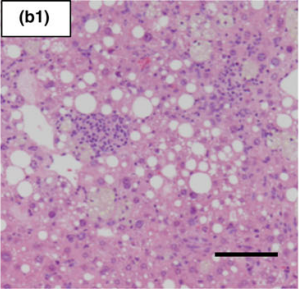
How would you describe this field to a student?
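Liver parenchyma with hepatocytes heavily laden with round, clear fat vacuoles of many sizes, some larger than the cells' nuclei. Clusters of small, dark, round nuclei of inflammatory cells lie within the lobule between the hepatocytes. A few enlarged pale hepatocytes with rarefied cytoplasm are scattered through the field. Vessel lumina appear as empty white spaces.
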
